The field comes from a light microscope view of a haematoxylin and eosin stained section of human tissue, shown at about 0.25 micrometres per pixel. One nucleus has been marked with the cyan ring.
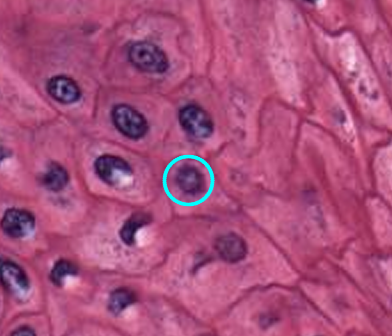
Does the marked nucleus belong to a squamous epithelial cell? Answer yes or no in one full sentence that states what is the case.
Yes, the marked nucleus is assigned to a squamous epithelial cell.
